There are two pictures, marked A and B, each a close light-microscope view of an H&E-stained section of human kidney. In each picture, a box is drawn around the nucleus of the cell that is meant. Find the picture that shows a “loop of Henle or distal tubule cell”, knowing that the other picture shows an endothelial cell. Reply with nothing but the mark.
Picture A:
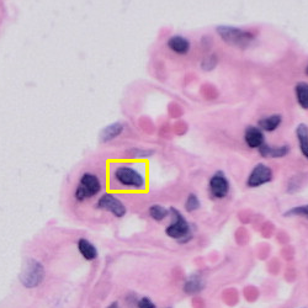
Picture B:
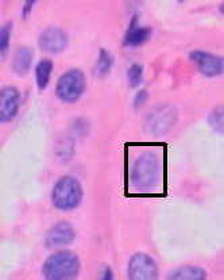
B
